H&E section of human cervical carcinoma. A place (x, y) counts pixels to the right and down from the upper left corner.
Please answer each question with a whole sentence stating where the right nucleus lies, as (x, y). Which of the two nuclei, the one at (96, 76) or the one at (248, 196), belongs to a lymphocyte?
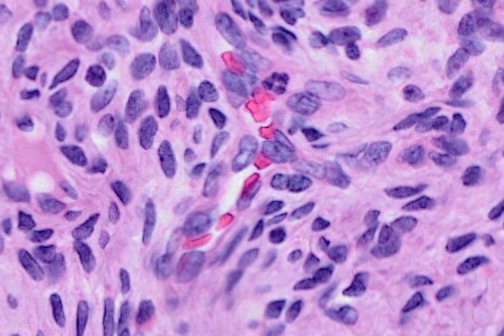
Housed in a lymphocyte is the nucleus at (96, 76), not the other one.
